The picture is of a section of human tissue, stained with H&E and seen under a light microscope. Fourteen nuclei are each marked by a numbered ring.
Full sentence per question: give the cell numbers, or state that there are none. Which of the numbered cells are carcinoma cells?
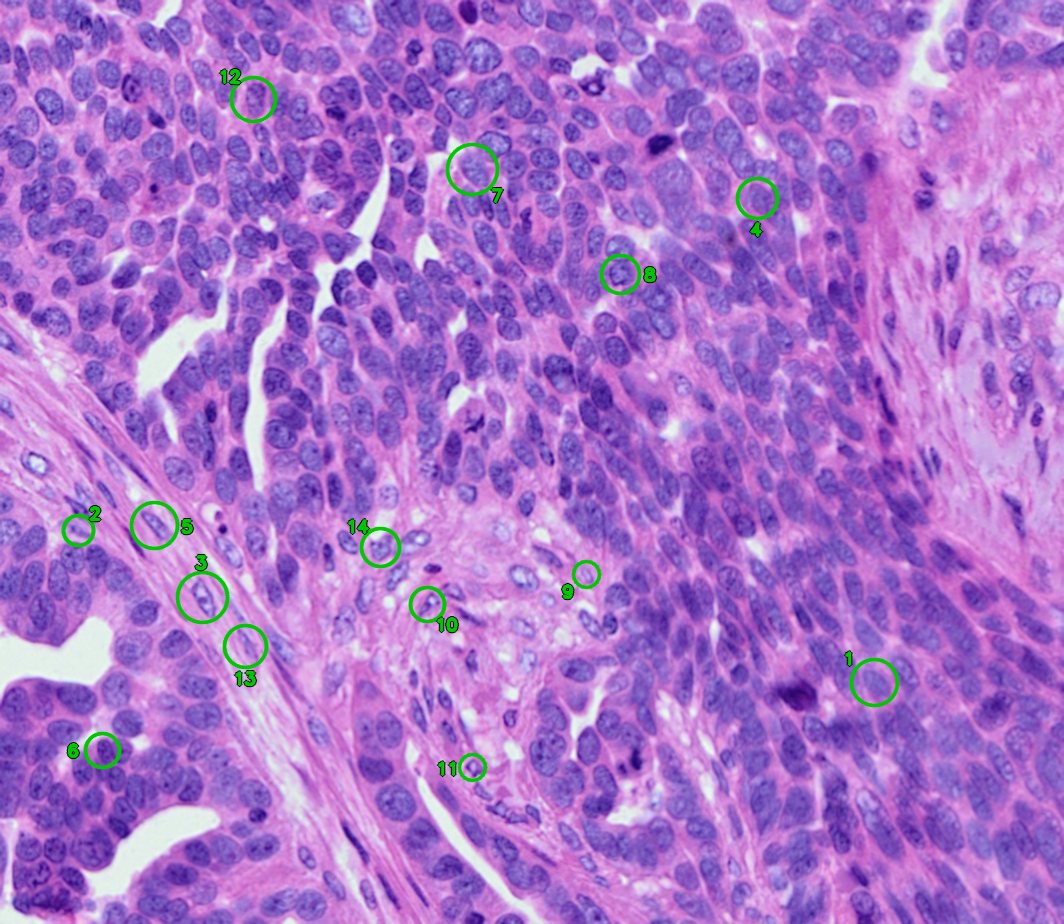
The cells that have numbers 1, 4, 6, 7, 8 and 12 are carcinoma cells.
